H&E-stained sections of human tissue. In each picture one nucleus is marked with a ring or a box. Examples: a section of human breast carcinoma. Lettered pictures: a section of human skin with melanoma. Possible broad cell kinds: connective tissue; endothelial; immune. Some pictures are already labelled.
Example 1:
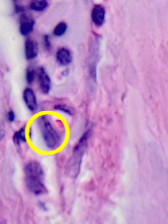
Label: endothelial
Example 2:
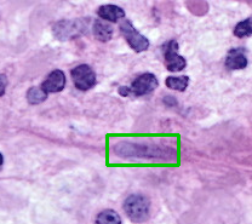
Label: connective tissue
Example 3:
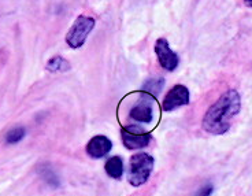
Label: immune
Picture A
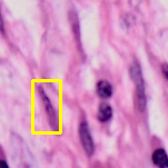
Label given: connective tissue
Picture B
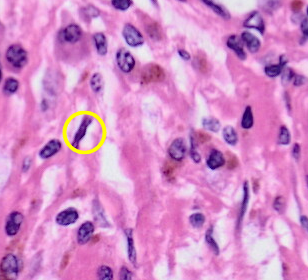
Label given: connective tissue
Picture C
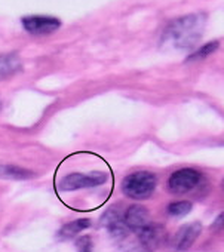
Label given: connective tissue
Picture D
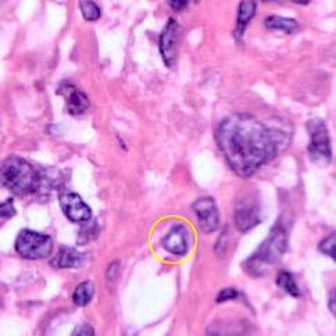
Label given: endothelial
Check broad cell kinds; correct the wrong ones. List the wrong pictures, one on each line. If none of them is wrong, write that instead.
Every label is right.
